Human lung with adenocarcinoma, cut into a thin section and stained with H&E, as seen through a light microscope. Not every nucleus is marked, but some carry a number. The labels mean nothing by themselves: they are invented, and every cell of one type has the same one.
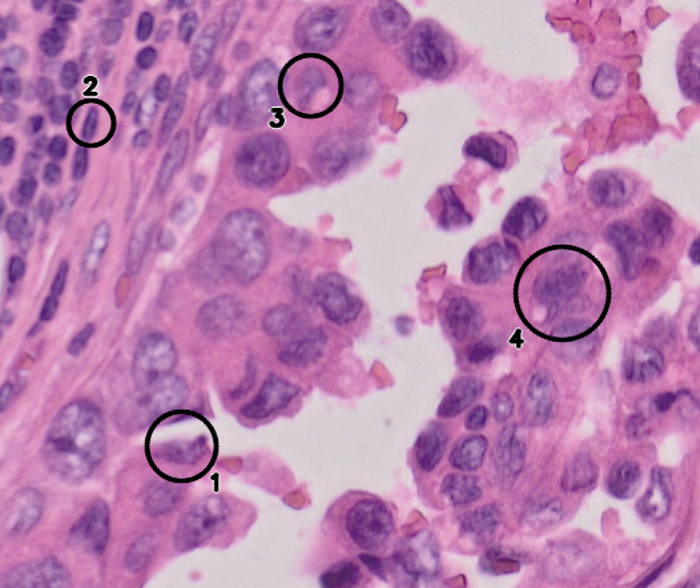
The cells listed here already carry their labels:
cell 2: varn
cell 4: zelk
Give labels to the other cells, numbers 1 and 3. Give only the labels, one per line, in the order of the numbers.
zelk
zelk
